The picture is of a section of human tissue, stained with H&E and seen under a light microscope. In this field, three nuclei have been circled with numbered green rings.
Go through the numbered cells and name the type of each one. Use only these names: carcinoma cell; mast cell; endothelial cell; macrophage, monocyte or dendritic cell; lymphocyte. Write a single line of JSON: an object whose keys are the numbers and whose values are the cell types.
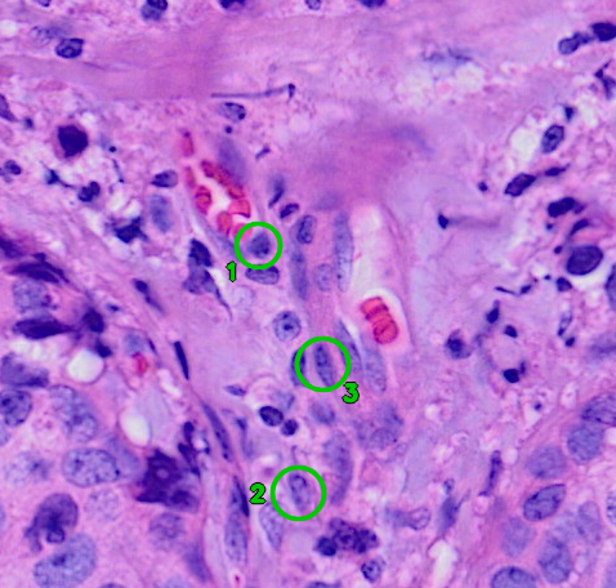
{"1": "lymphocyte", "2": "macrophage, monocyte or dendritic cell", "3": "endothelial cell"}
